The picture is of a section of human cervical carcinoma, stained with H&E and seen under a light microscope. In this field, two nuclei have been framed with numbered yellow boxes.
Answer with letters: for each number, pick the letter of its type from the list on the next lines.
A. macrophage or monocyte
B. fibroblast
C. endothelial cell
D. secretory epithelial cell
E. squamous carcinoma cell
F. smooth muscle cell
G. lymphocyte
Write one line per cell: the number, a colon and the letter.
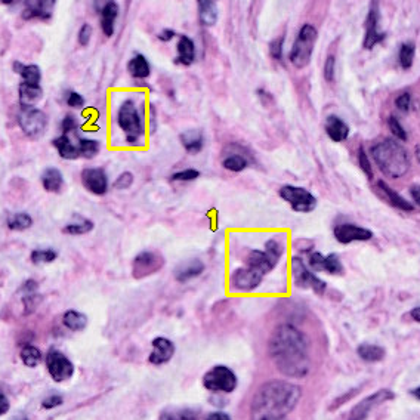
1: A
2: G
